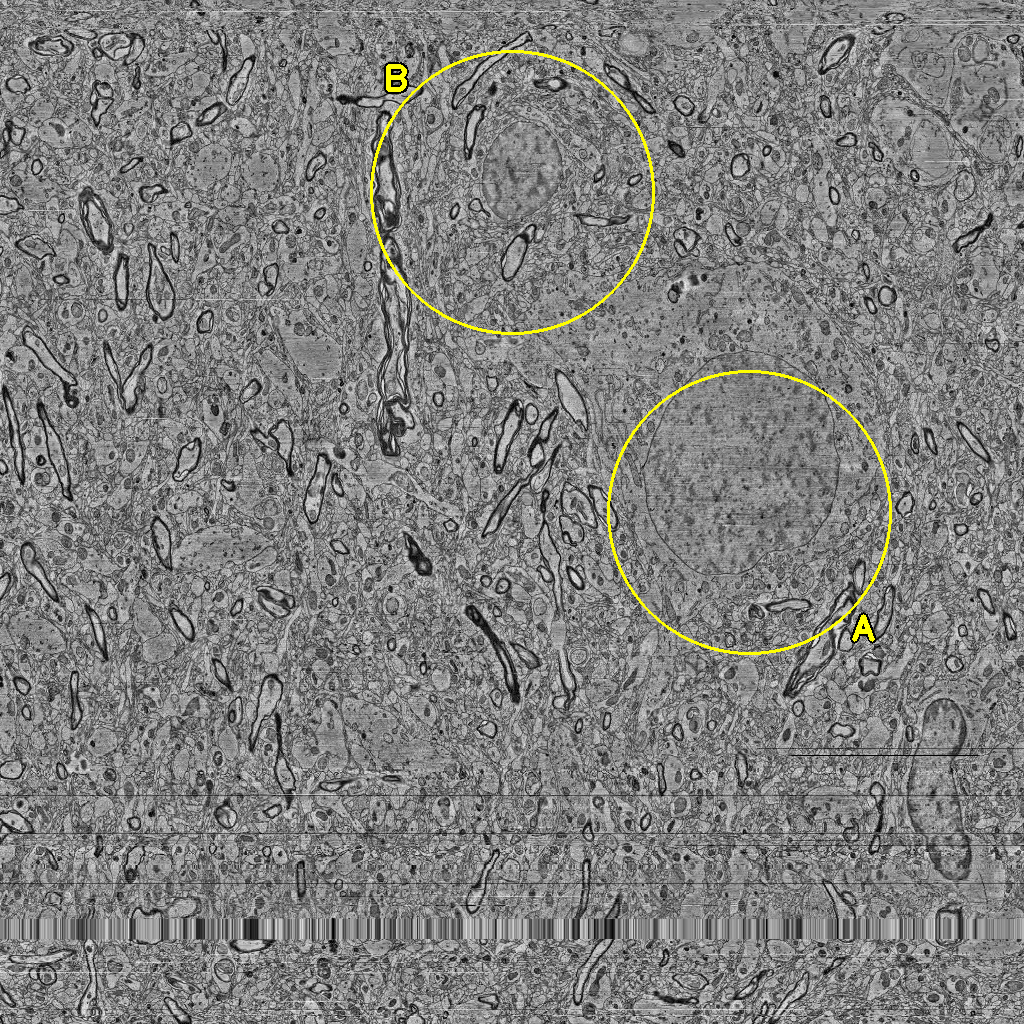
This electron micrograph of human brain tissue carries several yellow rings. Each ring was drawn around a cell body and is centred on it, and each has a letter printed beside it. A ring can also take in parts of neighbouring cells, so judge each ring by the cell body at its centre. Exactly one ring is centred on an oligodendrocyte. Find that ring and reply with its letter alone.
B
